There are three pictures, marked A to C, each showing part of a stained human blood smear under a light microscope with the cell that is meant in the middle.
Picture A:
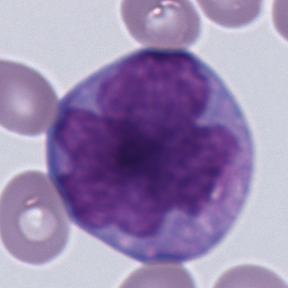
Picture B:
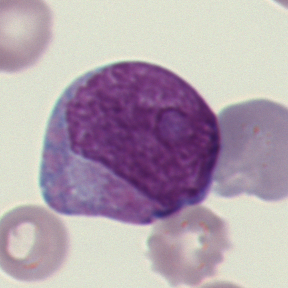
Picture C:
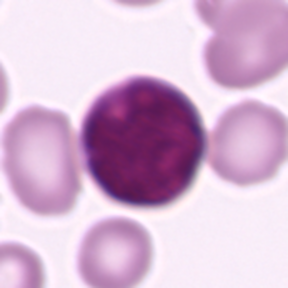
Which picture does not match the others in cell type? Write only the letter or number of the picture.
C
